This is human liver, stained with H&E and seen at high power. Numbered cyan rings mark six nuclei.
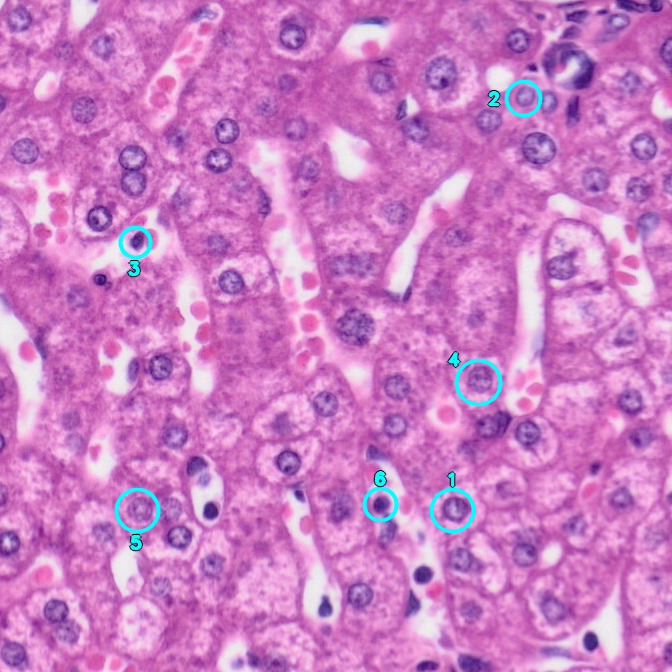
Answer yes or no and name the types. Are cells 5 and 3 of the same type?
No, not so; cell 5 is a hepatocyte and cell 3 is a lymphocyte.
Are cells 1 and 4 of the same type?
Yes, both cell 1 and cell 4 are hepatocytes.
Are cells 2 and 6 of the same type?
No, cell 2 should be called a cholangiocyte, and cell 6 should be called a lymphocyte.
